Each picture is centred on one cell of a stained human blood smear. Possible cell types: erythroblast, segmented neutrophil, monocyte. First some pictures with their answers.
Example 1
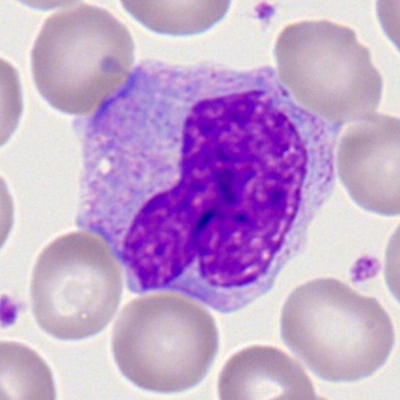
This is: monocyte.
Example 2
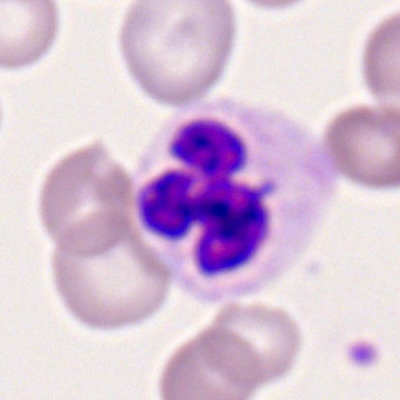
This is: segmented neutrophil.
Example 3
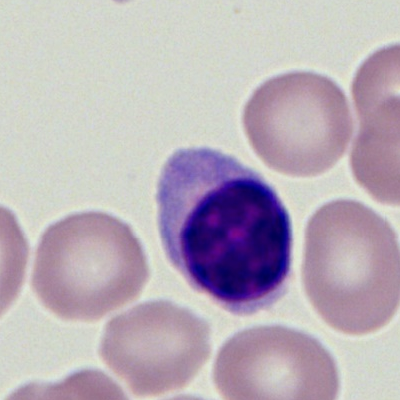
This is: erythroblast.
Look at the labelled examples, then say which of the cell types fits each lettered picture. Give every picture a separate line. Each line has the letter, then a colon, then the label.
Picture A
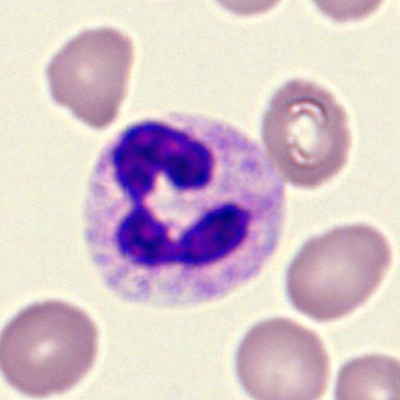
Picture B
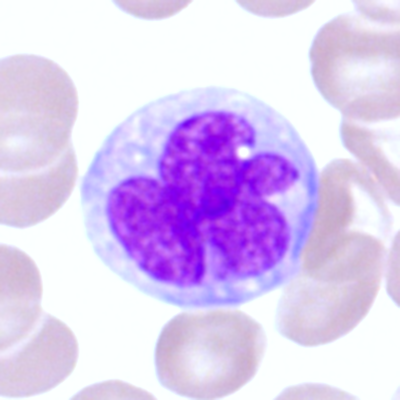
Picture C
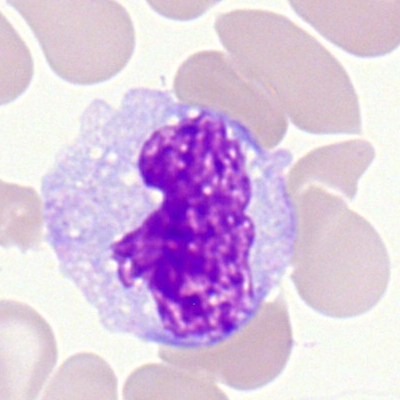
A: segmented neutrophil.
B: monocyte.
C: monocyte.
